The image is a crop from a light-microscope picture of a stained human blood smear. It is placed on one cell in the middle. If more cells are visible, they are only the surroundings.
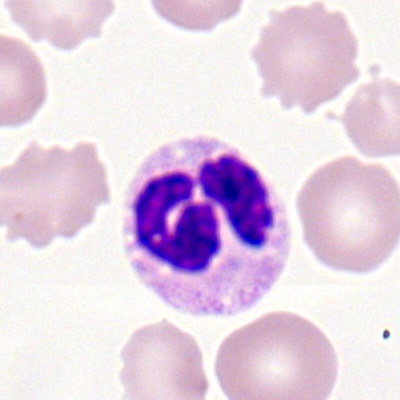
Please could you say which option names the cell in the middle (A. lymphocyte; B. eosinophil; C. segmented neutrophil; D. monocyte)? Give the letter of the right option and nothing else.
C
